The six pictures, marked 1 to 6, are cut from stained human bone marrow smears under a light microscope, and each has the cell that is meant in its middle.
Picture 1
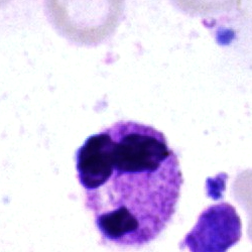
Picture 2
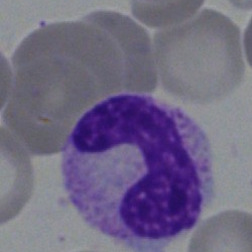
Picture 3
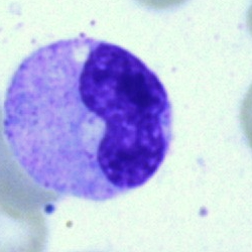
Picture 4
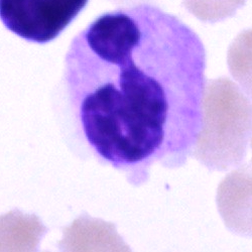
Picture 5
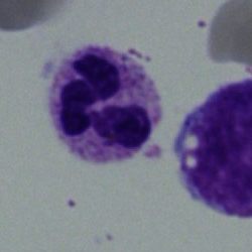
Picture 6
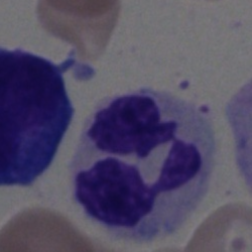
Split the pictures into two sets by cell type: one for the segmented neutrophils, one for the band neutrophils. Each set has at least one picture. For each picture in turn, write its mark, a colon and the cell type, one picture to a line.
1: segmented neutrophil
2: band neutrophil
3: band neutrophil
4: segmented neutrophil
5: segmented neutrophil
6: segmented neutrophil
